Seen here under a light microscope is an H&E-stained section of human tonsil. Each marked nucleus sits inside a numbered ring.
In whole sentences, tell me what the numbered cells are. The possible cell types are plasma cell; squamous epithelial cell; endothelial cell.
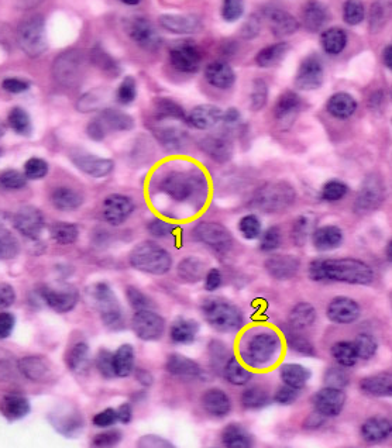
Cell 1 is a squamous epithelial cell. Cell 2 is a plasma cell.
